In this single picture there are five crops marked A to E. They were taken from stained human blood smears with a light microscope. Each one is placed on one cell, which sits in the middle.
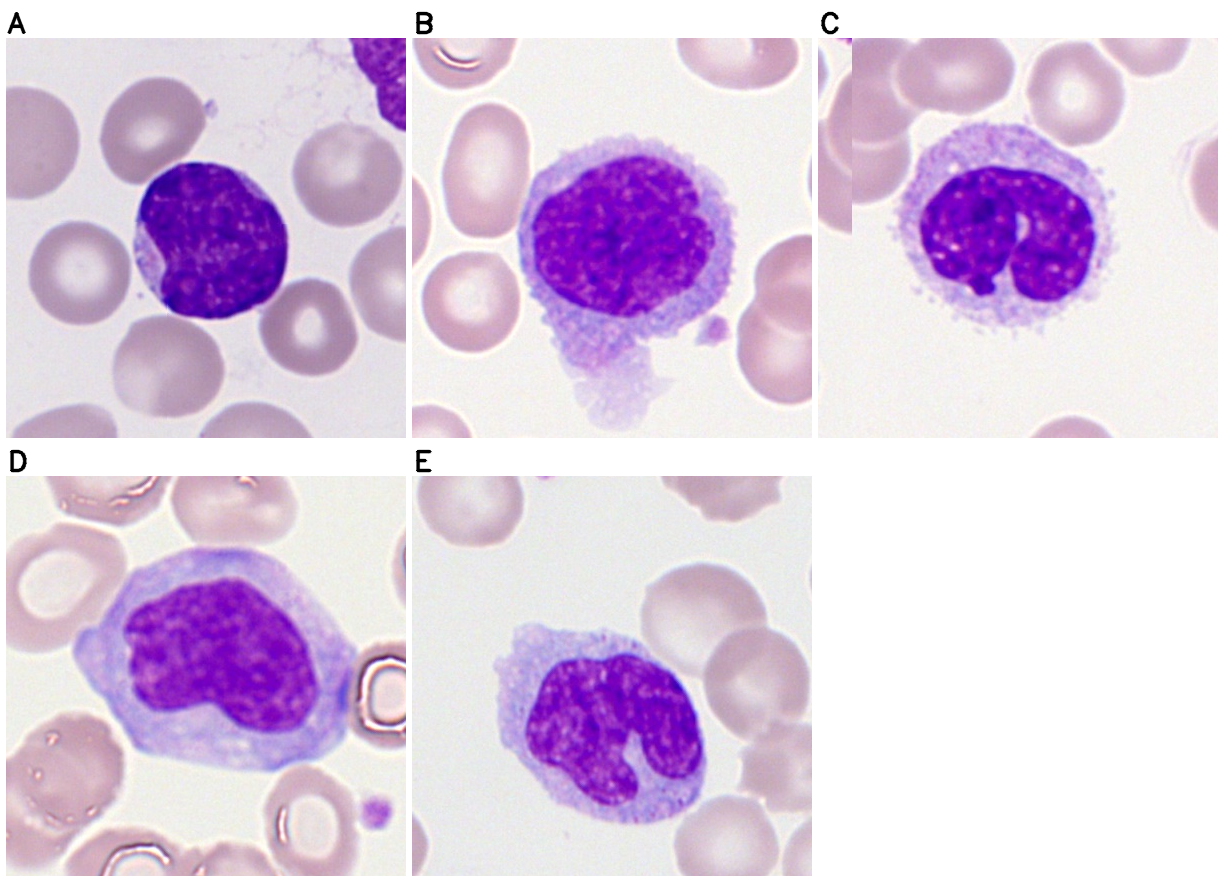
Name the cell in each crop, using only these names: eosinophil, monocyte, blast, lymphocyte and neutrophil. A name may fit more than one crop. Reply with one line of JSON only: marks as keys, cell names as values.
{"A": "blast", "B": "monocyte", "C": "monocyte", "D": "monocyte", "E": "monocyte"}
